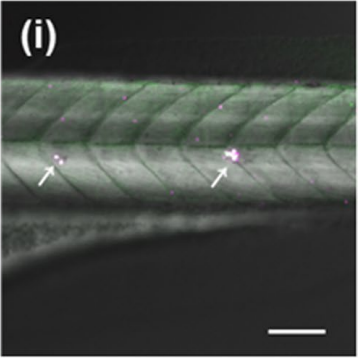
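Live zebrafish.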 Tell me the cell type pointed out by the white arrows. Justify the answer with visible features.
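Hair cells. Small labelled clusters sit along the midline of the trunk over the chevron-shaped muscle segments. Clusters are spaced apart along the body axis. Clusters appear white where green and magenta overlap.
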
